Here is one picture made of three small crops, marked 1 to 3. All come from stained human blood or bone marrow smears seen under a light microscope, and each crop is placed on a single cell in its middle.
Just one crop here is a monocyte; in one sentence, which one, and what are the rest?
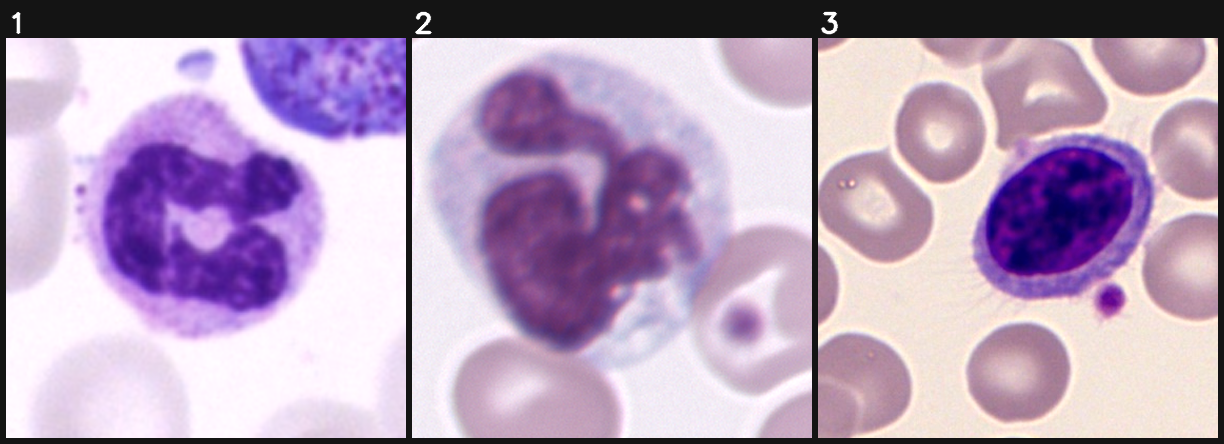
Whereas crop 1 is a segmented neutrophil and crop 3 is a lymphocyte, the cell at the centre of crop 2 is a monocyte.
